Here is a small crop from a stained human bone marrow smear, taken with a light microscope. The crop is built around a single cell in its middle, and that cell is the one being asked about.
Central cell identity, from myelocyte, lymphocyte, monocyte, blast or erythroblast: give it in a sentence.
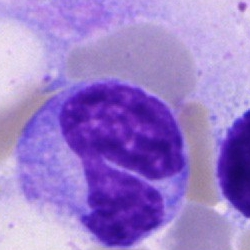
The centrally placed cell is classified as a monocyte.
